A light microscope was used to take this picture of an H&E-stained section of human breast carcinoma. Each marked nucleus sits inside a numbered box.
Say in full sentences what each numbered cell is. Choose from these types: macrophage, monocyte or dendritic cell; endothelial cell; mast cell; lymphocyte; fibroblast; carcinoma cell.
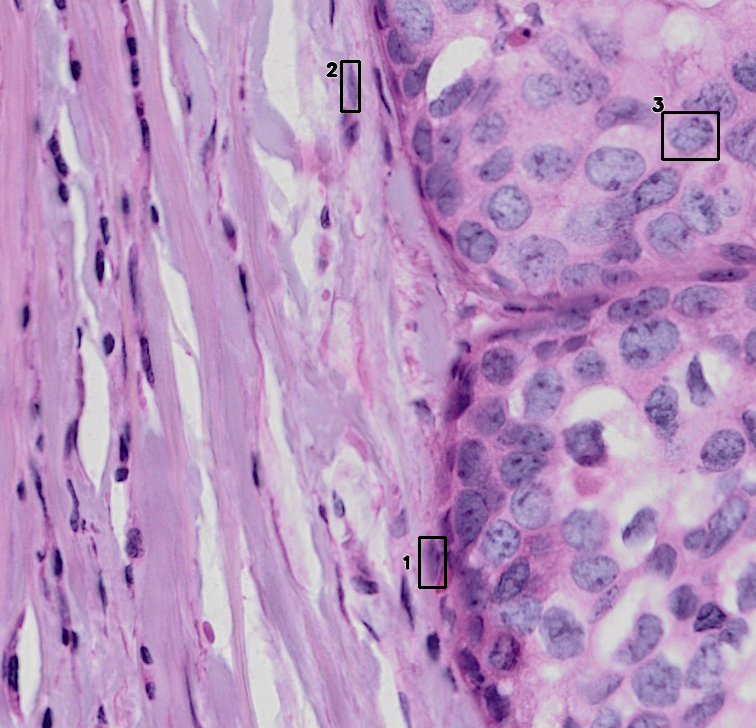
Cell 1 is an endothelial cell, cell 2 is a fibroblast and cell 3 is a carcinoma cell.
